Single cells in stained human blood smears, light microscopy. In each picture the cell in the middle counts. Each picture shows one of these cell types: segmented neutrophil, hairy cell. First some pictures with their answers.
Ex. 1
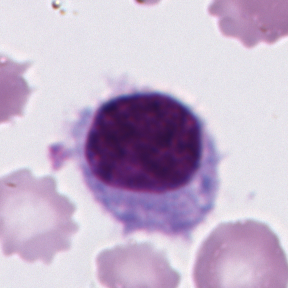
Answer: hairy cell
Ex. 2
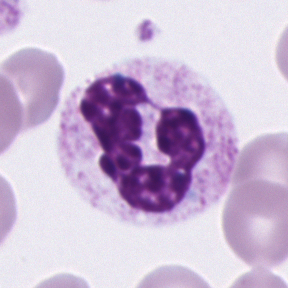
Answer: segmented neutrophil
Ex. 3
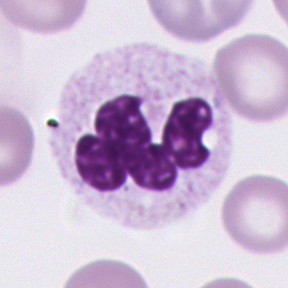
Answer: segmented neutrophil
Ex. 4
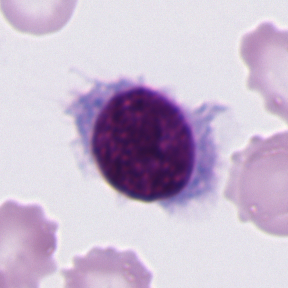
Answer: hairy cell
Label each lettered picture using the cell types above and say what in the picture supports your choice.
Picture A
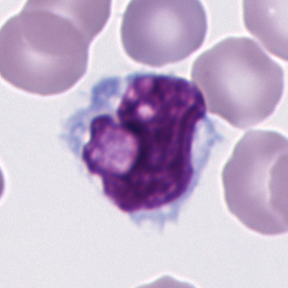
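hairy cell: The cytoplasm is scant compared with the nucleus.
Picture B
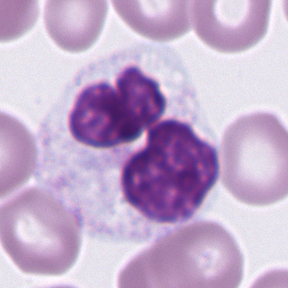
segmented neutrophil: The nucleus is divided into two separate lobes.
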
